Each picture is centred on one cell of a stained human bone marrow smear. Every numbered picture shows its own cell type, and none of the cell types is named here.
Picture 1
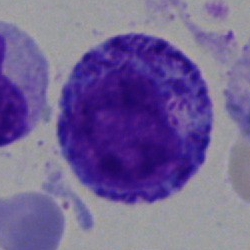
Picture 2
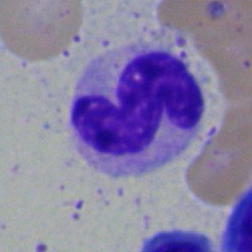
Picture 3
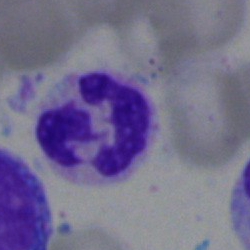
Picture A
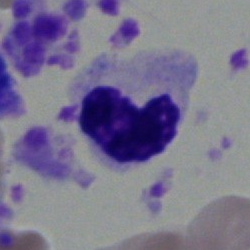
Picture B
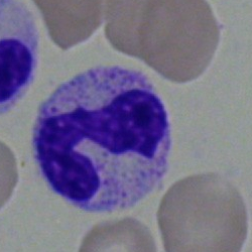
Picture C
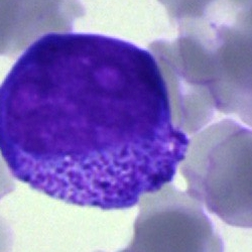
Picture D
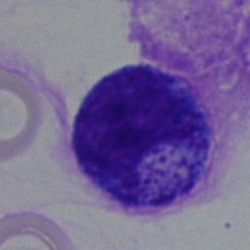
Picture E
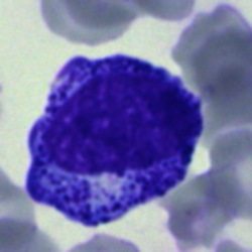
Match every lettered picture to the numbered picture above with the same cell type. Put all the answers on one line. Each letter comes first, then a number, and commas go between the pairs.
A 3, B 2, C 1, D 1, E 1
